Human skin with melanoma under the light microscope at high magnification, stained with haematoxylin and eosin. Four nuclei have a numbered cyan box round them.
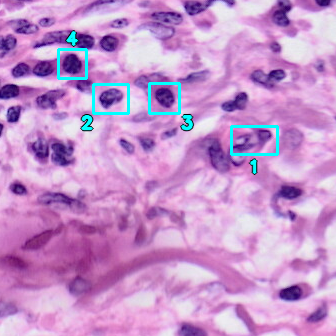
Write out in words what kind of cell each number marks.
Cell 1 is an endothelial cell, cell 2 is a lymphocyte, cell 3 is a plasma cell and cell 4 is a plasma cell.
